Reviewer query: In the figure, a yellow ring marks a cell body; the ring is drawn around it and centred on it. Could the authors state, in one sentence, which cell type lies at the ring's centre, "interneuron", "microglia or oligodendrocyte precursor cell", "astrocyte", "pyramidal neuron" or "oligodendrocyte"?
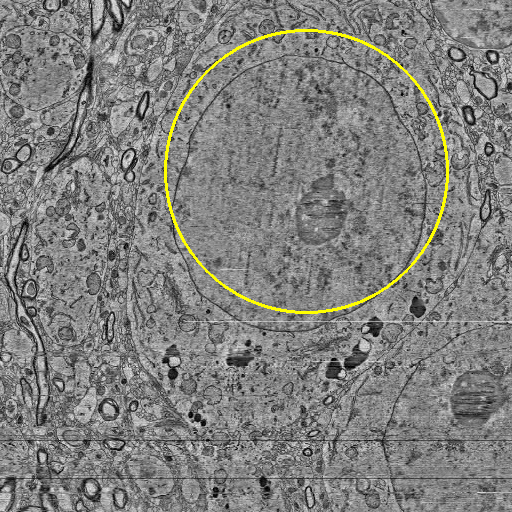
The ring is centred on a pyramidal neuron.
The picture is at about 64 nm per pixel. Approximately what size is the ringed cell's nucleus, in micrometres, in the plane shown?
The nucleus is about 17 micrometres across in this plane.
